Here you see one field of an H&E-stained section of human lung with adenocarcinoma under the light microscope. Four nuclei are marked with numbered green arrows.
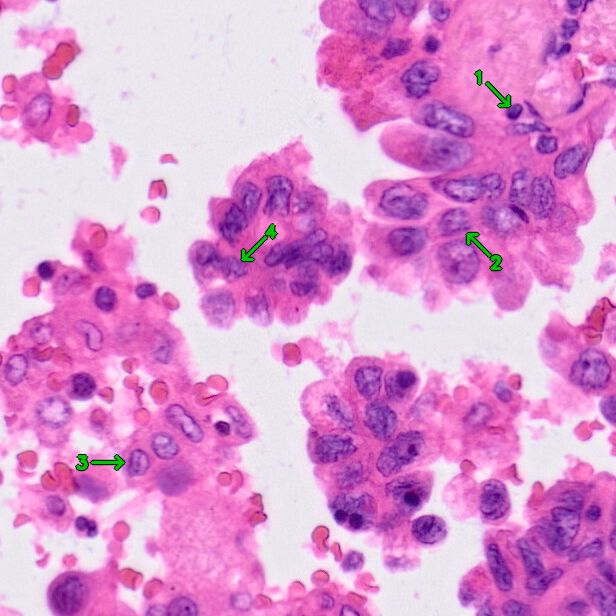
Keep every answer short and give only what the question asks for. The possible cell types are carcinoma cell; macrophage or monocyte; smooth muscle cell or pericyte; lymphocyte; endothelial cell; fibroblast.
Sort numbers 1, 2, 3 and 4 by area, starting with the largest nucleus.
2, 3, 4, 1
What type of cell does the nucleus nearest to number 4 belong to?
carcinoma cell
